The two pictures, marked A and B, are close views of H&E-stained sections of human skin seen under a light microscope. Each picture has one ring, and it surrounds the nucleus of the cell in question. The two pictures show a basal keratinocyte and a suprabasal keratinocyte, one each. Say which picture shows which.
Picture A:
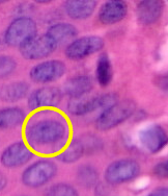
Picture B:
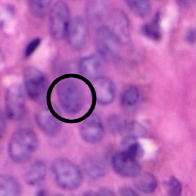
A: suprabasal keratinocyte
B: basal keratinocyte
